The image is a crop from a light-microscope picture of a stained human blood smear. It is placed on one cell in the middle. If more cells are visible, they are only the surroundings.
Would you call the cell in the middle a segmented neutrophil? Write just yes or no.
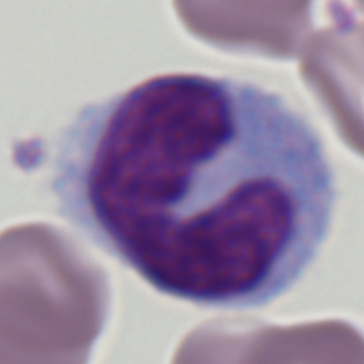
no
